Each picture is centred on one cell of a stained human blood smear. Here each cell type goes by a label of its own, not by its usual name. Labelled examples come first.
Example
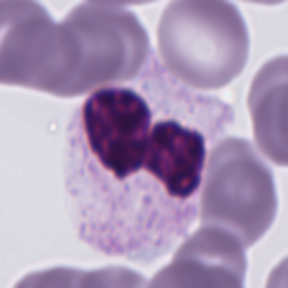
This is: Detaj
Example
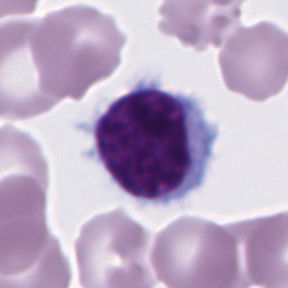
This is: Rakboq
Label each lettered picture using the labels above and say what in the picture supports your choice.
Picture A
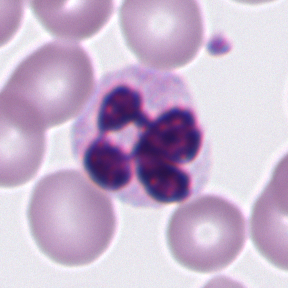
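Detaj: The nucleus is divided into four separate lobes.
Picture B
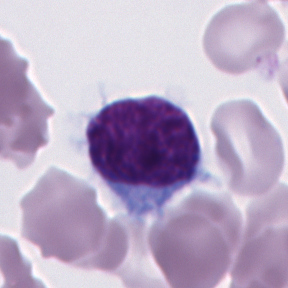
Rakboq: The cytoplasm is scant and gathered mainly below the nucleus.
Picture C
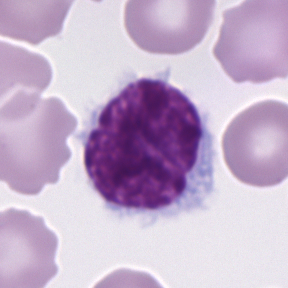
Rakboq: The cytoplasm forms a thin rim that is widest on the right and lower right.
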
